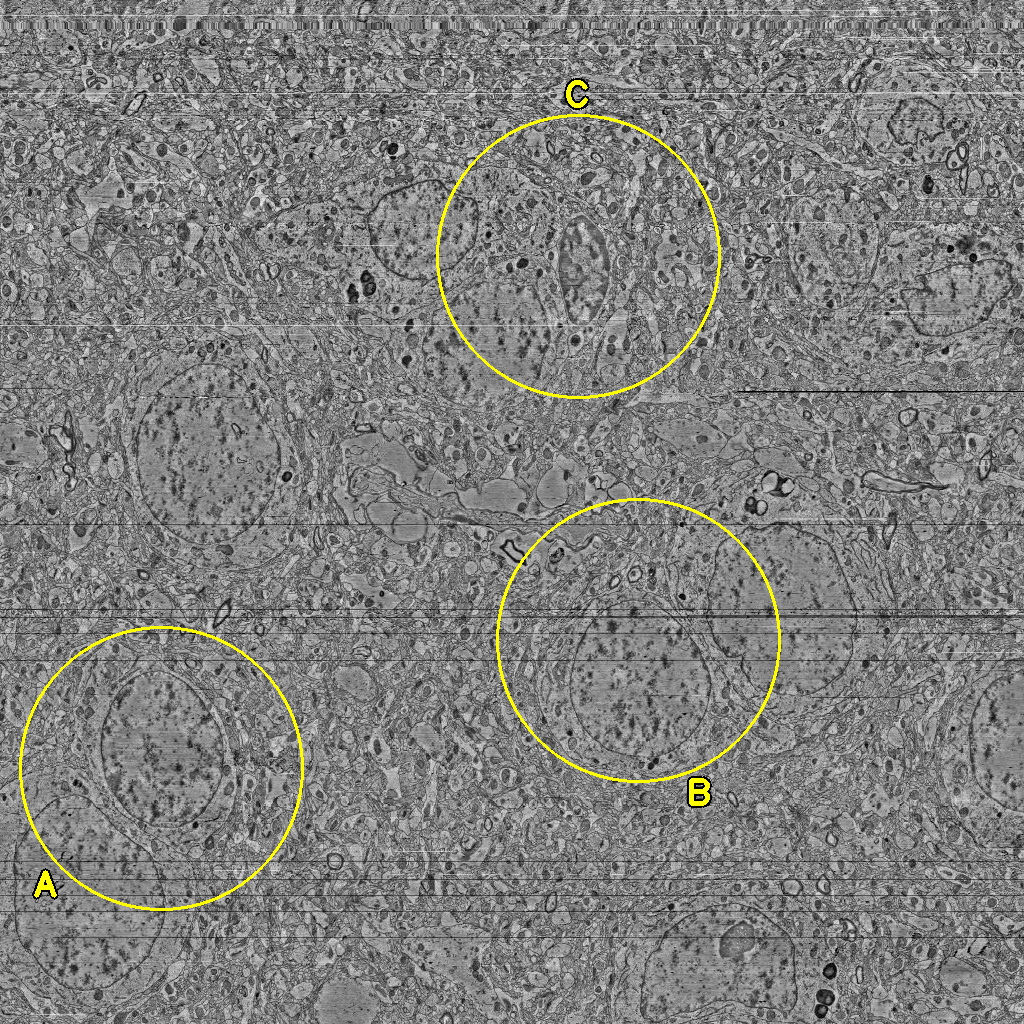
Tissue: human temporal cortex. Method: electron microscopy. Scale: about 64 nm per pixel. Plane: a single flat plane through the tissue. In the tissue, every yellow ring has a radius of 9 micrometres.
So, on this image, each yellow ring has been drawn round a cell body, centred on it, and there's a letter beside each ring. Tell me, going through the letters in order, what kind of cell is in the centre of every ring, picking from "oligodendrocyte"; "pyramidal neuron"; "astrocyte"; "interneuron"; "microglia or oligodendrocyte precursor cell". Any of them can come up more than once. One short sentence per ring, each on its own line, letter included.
Ring A has been drawn round a pyramidal neuron.
Ring B has been drawn round a pyramidal neuron.
Ring C has been drawn round a microglial cell or oligodendrocyte precursor cell.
